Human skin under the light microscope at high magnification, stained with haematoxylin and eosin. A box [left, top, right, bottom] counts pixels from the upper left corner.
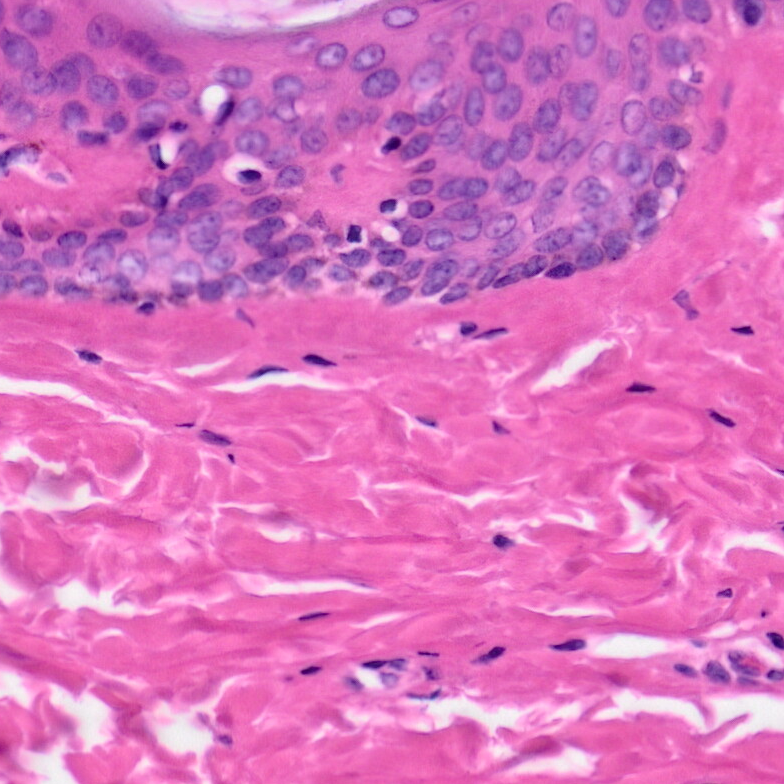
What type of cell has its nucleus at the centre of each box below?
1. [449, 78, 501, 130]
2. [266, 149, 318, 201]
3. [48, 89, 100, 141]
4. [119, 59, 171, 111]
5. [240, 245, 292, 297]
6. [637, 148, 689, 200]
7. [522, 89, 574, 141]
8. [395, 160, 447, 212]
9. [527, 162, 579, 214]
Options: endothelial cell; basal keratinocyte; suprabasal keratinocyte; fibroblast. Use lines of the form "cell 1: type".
cell 1: suprabasal keratinocyte
cell 2: basal keratinocyte
cell 3: basal keratinocyte
cell 4: suprabasal keratinocyte
cell 5: basal keratinocyte
cell 6: basal keratinocyte
cell 7: suprabasal keratinocyte
cell 8: basal keratinocyte
cell 9: suprabasal keratinocyte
